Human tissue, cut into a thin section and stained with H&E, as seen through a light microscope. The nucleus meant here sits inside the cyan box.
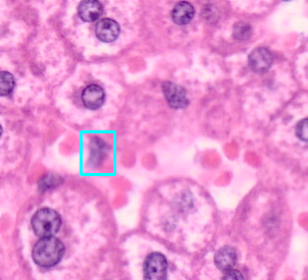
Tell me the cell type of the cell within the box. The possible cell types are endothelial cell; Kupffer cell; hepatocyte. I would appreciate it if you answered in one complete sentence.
On this particular slide, the cell within the box is an endothelial cell.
